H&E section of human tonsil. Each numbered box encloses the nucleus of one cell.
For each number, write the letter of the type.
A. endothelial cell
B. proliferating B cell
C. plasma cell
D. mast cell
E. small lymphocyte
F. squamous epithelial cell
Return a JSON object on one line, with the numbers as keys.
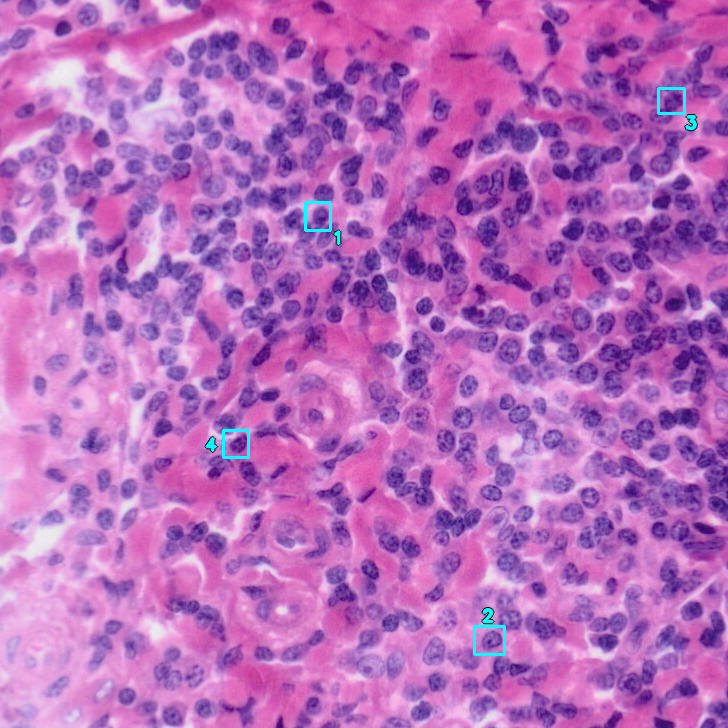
{"1": "E", "2": "C", "3": "C", "4": "C"}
